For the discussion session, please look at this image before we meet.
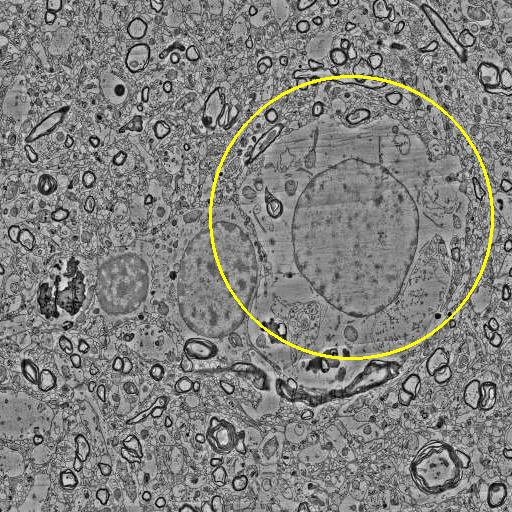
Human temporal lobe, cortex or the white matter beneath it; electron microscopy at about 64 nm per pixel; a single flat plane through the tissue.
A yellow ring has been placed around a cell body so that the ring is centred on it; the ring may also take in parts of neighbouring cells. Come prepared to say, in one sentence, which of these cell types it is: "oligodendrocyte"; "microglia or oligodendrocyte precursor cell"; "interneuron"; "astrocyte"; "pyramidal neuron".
The cell centred in the ring is an astrocyte.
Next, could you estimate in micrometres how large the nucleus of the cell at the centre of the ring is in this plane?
The nucleus of the ringed cell is approximately 10 by 8 micrometres in this plane.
